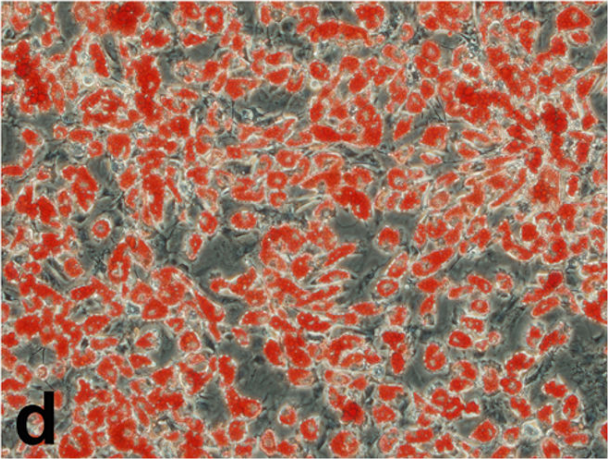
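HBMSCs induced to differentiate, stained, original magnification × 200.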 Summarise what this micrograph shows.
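Here the adipocytes stand out clearly because their cytoplasm is stained red. The red cells are scattered densely over the field, each filled with many small red droplets that give them a granular, blotchy look. Some red cells are rounded, others more irregular in outline. Between them lie grey, unstained, spindle-shaped cells that form the background sheet. The red staining is confined to the droplet-filled cells and spares the flat cells around them.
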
